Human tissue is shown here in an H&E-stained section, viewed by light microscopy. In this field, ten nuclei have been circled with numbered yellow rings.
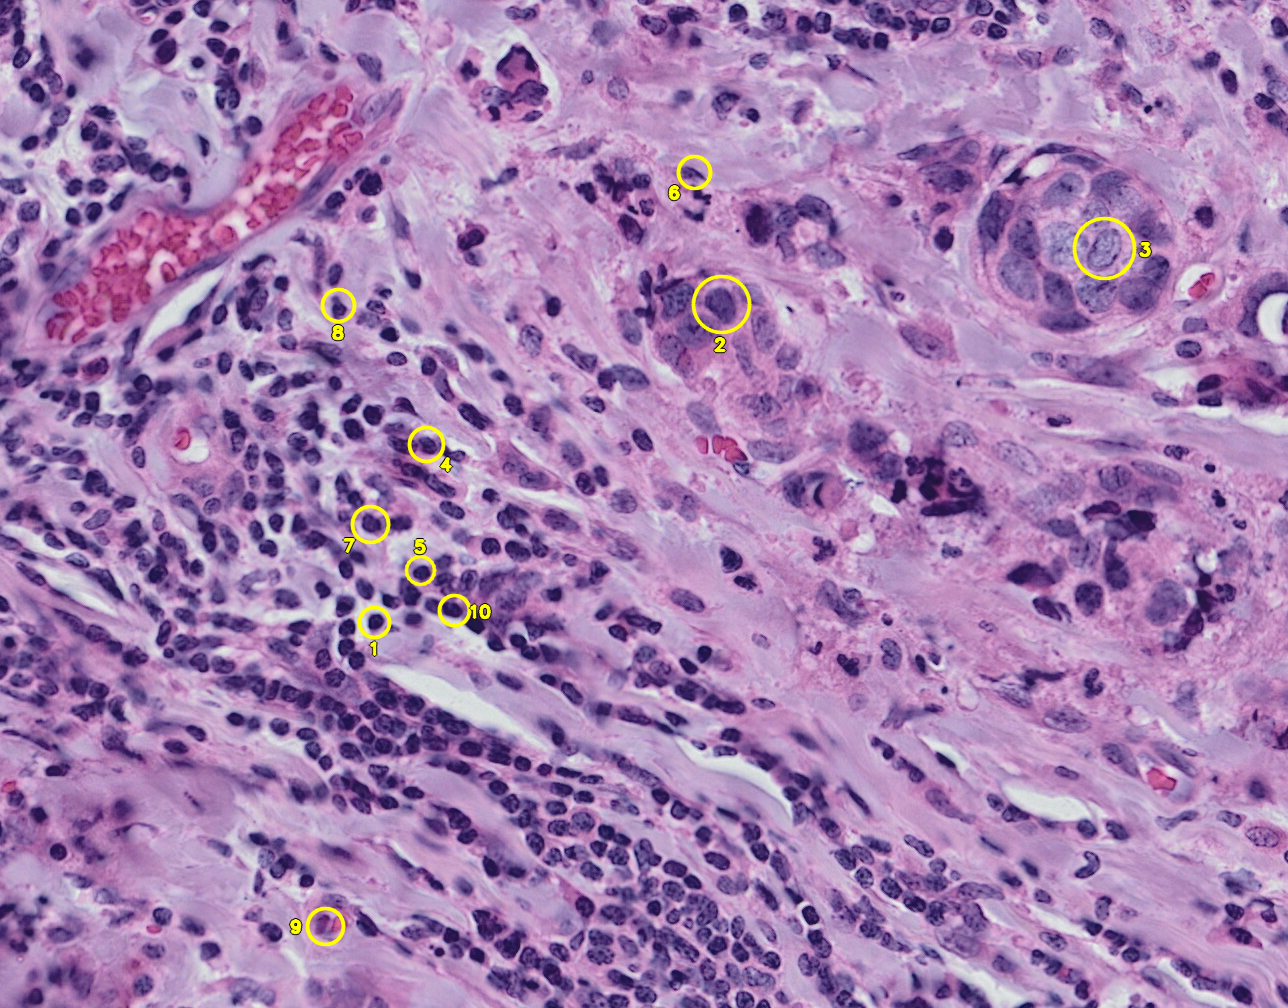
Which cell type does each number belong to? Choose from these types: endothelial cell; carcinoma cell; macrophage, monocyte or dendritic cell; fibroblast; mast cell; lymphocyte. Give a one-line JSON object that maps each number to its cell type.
{"1": "lymphocyte", "2": "carcinoma cell", "3": "carcinoma cell", "4": "lymphocyte", "5": "lymphocyte", "6": "fibroblast", "7": "lymphocyte", "8": "lymphocyte", "9": "endothelial cell", "10": "lymphocyte"}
